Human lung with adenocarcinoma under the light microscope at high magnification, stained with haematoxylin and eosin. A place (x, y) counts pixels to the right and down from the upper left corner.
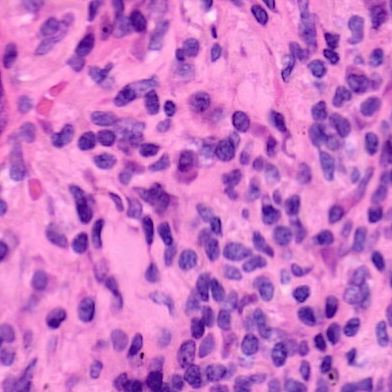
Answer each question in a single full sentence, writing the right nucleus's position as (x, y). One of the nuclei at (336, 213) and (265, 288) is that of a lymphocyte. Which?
Of these two nuclei, it is the one at (265, 288) that belongs to a lymphocyte.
